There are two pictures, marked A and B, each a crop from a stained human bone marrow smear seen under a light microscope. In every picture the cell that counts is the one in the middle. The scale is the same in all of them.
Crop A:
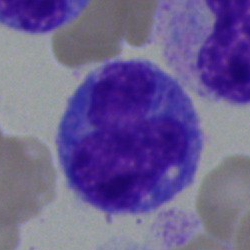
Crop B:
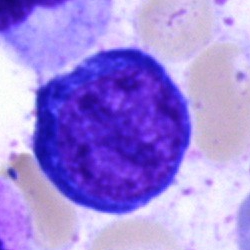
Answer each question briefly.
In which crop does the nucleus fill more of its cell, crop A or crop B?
B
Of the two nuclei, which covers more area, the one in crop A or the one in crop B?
B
